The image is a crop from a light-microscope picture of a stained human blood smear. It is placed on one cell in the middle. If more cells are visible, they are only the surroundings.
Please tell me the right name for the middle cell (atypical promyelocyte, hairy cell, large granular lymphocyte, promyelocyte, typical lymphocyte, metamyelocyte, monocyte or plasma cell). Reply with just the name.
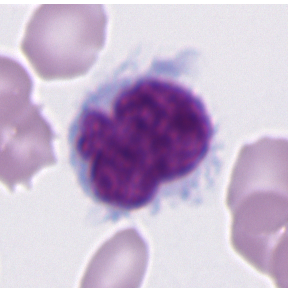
hairy cell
